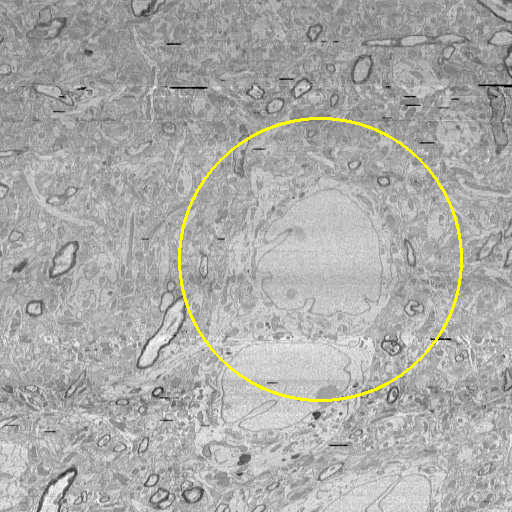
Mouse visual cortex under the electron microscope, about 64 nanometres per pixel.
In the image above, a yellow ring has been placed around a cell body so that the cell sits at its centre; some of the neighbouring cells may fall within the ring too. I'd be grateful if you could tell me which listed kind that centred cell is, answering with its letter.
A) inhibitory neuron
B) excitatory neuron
B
